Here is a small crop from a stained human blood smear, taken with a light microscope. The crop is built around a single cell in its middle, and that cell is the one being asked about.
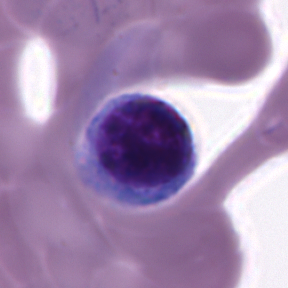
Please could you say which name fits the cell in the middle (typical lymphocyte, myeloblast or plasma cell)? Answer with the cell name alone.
plasma cell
